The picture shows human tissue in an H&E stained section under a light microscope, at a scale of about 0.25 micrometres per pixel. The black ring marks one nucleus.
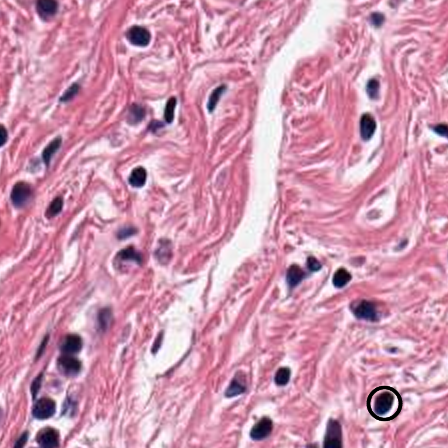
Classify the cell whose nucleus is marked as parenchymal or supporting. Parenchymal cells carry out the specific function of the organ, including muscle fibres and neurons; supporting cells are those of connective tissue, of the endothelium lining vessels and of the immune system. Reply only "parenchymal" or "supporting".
supporting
